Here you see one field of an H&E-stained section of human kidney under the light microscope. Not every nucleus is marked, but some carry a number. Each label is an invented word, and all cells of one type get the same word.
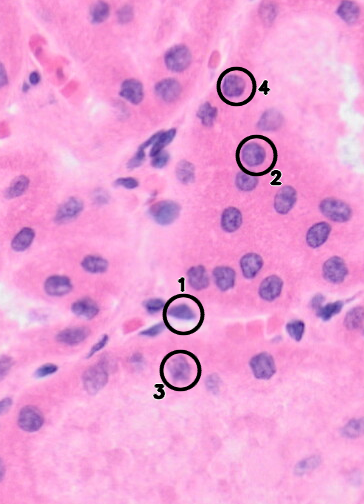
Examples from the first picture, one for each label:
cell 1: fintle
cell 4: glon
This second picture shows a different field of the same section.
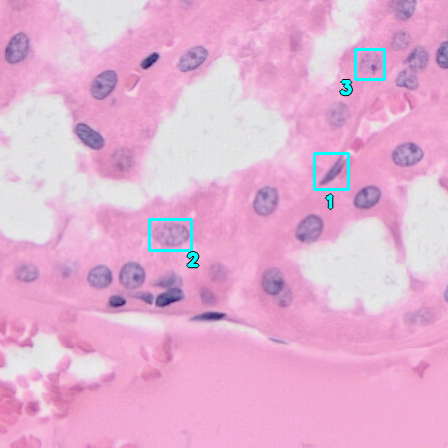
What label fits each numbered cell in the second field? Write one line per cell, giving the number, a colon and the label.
1: fintle
2: glon
3: glon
